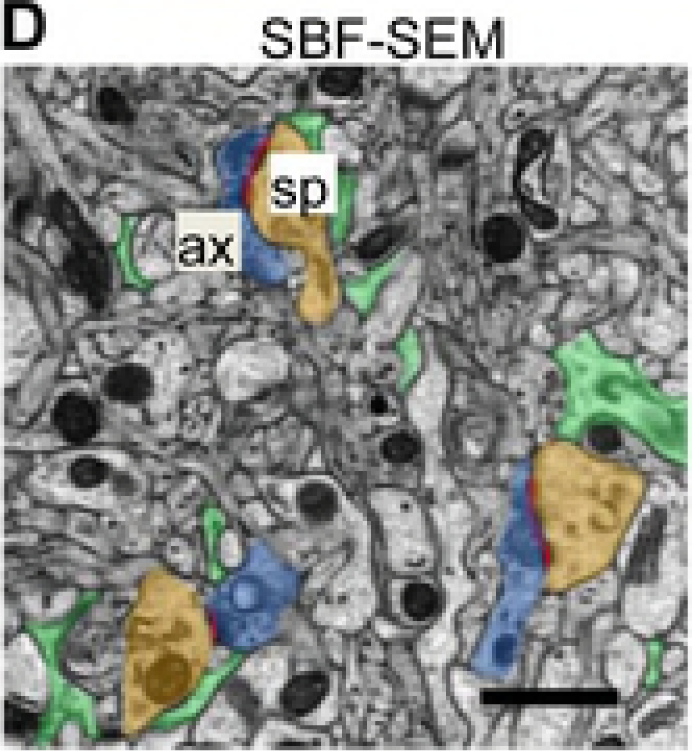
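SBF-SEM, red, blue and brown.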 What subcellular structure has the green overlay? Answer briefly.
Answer: astrocyte fine processes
